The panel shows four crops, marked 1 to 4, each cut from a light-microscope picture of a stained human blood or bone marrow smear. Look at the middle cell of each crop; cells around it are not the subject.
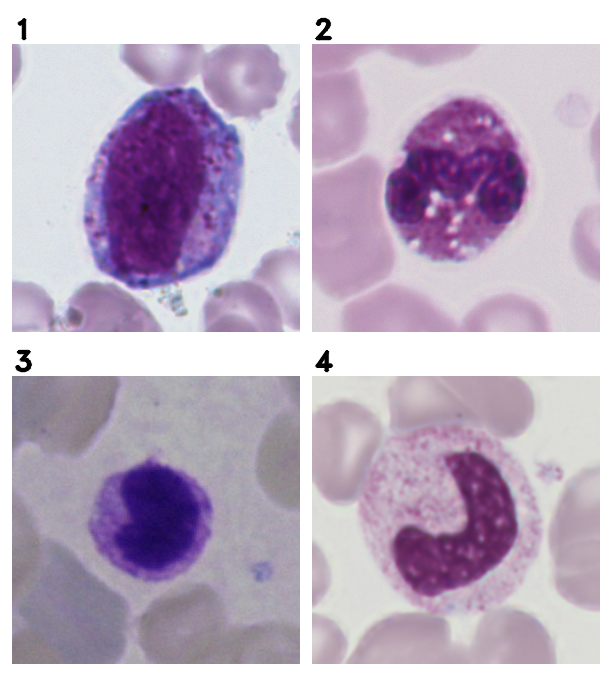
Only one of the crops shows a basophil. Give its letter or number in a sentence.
Crop 3 is where a basophil is to be found.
